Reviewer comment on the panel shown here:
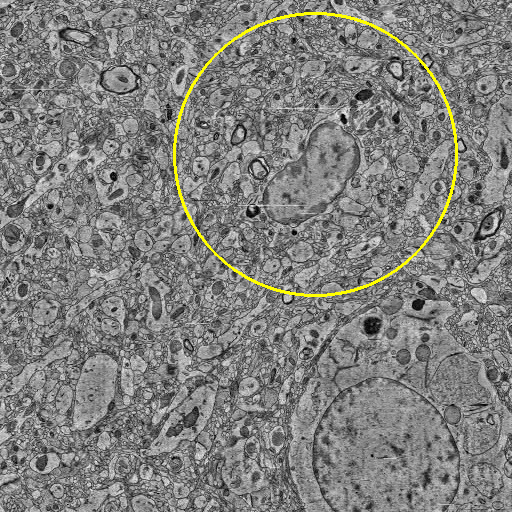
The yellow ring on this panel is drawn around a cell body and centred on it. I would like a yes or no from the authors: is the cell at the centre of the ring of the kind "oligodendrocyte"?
no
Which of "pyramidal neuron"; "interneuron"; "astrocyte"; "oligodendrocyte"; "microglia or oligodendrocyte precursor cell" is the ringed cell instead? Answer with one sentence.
It is a microglial cell or oligodendrocyte precursor cell that the ring is centred on.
